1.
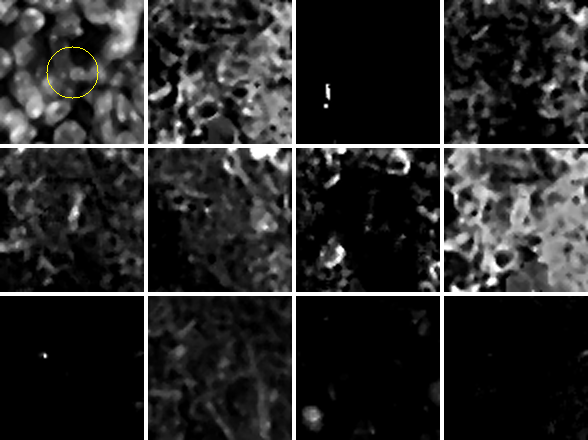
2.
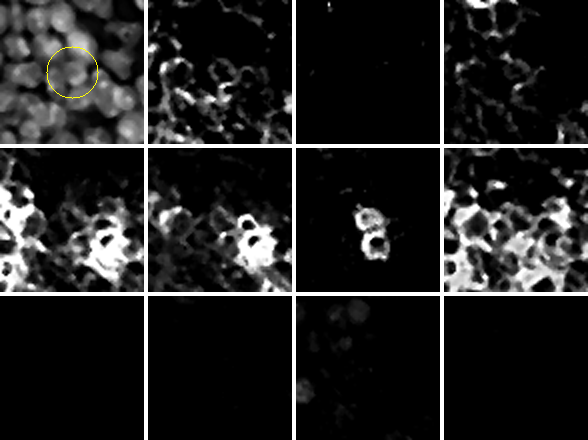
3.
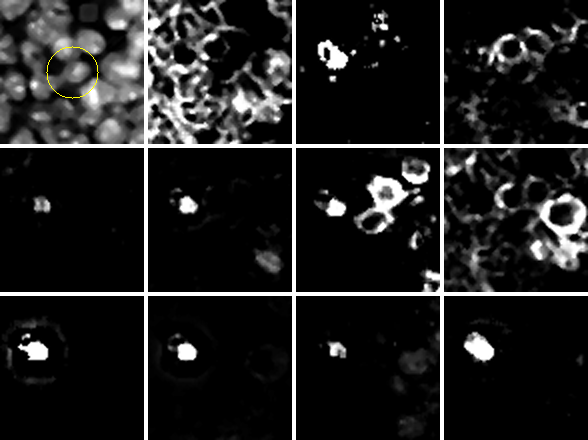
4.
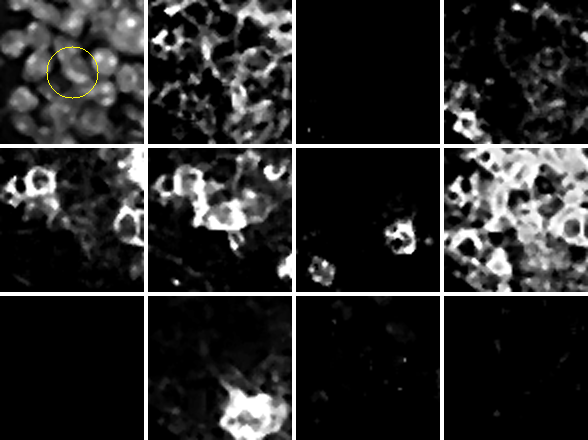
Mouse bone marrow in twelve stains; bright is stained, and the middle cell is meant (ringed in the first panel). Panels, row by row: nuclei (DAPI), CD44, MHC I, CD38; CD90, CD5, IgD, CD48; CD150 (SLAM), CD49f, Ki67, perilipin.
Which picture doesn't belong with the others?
Picture 4.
